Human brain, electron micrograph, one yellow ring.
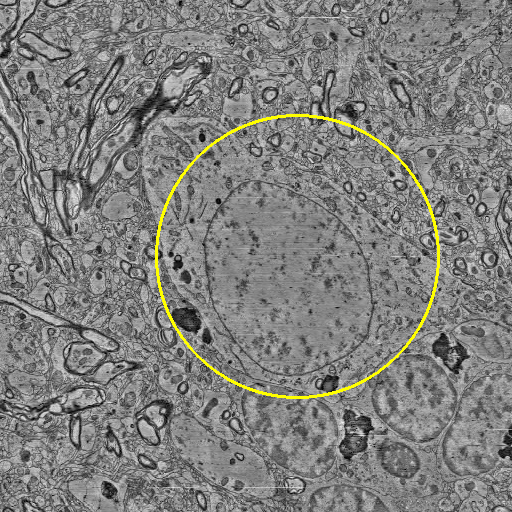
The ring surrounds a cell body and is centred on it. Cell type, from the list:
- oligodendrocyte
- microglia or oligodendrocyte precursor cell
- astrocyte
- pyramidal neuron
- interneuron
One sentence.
The yellow ring circles a pyramidal neuron.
